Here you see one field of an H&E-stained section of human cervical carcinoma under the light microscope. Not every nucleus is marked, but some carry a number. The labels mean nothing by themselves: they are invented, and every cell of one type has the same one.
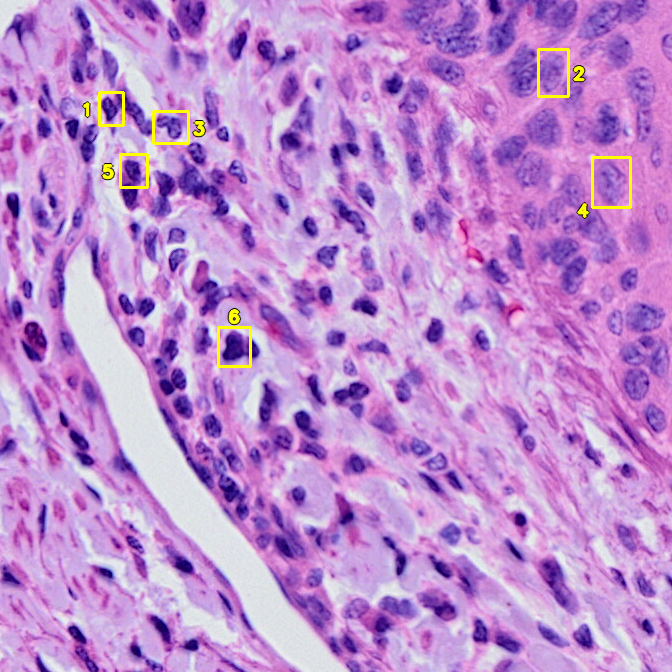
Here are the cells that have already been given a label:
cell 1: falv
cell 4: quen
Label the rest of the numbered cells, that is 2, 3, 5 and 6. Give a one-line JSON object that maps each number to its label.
{"2": "quen", "3": "falv", "5": "falv", "6": "falv"}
